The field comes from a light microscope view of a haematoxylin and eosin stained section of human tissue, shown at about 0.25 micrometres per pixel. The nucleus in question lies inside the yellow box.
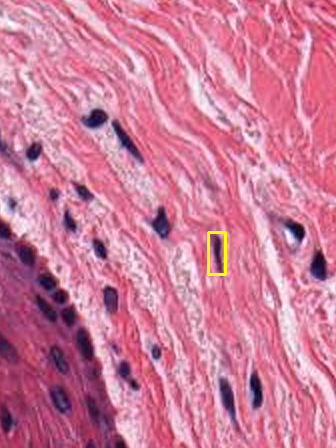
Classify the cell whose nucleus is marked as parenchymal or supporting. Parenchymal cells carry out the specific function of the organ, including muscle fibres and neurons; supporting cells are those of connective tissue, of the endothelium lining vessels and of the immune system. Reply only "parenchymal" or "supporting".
supporting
